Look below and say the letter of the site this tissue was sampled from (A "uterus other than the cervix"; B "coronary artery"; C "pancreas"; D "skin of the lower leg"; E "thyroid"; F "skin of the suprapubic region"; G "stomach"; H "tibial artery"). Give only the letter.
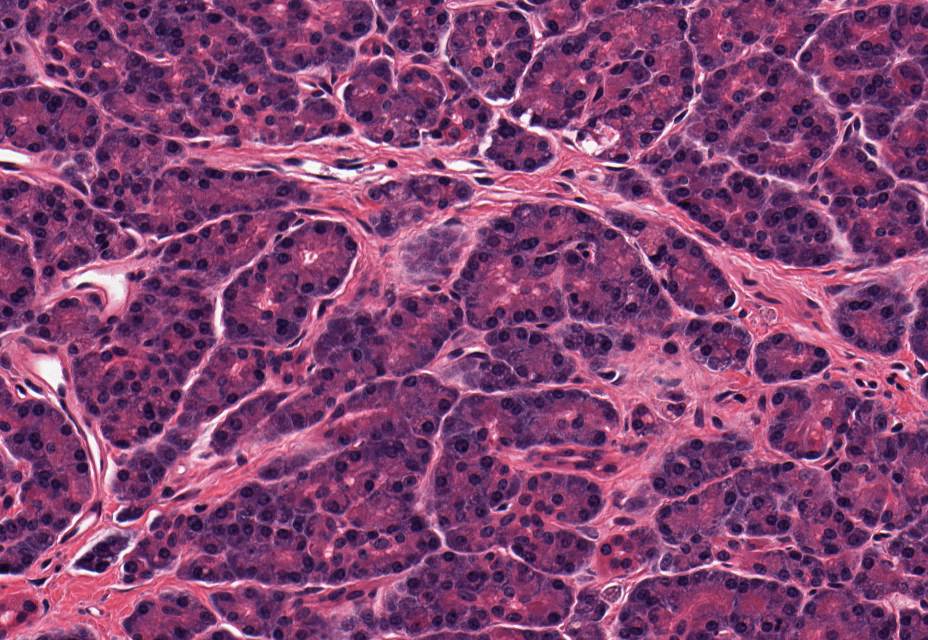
C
